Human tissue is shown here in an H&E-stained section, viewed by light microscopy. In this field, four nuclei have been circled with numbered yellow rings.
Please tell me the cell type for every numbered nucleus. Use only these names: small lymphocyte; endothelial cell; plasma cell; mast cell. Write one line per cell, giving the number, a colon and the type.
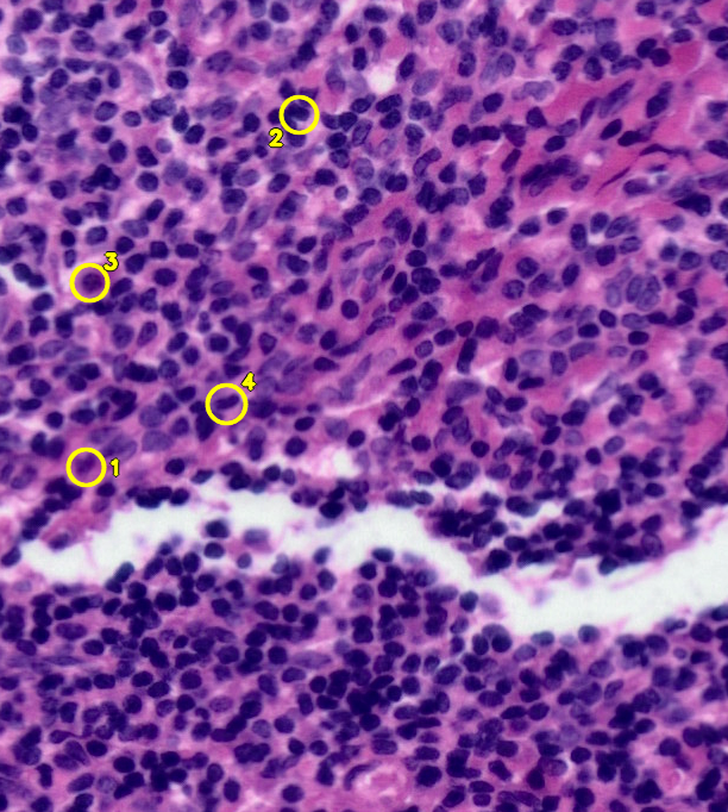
1: endothelial cell
2: small lymphocyte
3: plasma cell
4: endothelial cell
